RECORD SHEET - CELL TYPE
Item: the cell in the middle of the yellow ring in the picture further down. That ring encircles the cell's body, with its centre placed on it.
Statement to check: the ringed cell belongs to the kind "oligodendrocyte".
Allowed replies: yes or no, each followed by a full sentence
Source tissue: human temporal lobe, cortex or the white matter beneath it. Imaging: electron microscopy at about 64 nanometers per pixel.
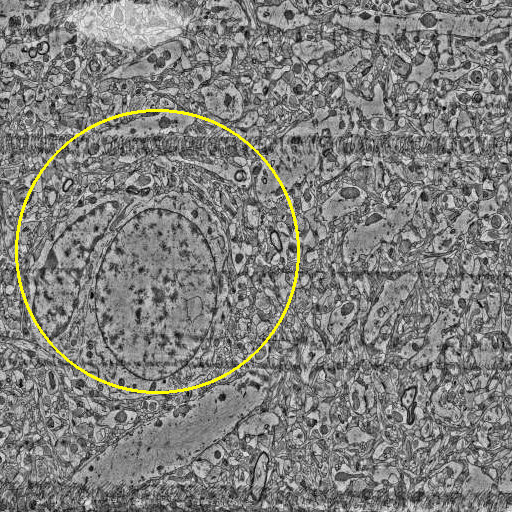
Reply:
No, the cell held at the centre of the ring in the picture is of a different kind.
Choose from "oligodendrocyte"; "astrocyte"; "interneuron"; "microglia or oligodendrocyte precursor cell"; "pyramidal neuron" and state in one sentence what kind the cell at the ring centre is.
The ringed cell in this picture is, instead, a pyramidal neuron.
